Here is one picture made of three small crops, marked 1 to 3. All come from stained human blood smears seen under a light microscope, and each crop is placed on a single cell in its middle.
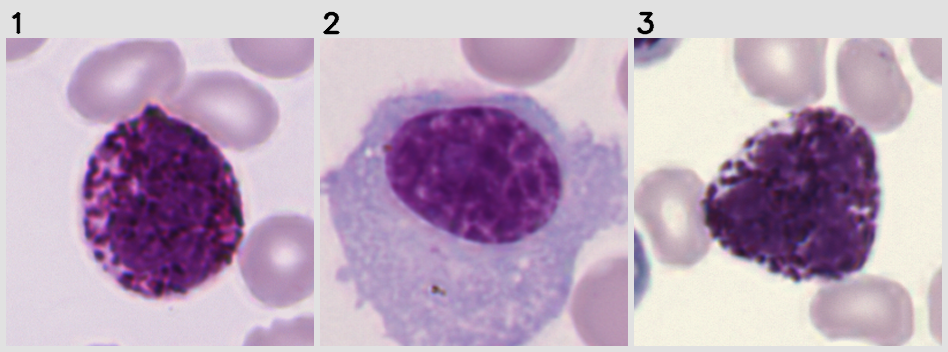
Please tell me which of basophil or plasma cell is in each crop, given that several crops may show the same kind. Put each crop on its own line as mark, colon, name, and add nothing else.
1: basophil
2: plasma cell
3: basophil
